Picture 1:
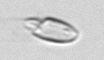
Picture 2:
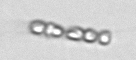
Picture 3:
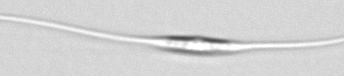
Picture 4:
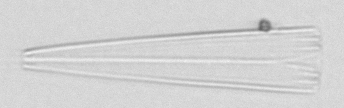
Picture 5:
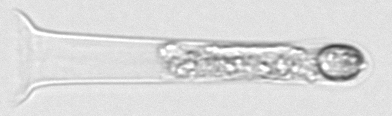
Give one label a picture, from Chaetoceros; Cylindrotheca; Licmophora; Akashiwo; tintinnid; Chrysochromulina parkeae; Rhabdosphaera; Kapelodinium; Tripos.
1: Kapelodinium
2: Chaetoceros
3: Cylindrotheca
4: Licmophora
5: tintinnid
